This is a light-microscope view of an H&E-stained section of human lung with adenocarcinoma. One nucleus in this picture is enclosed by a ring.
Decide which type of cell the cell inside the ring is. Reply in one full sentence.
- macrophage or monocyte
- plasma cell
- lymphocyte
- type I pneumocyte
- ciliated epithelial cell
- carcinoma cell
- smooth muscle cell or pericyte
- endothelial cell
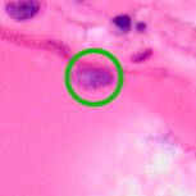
Within this tissue, the cell inside the ring is an endothelial cell.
